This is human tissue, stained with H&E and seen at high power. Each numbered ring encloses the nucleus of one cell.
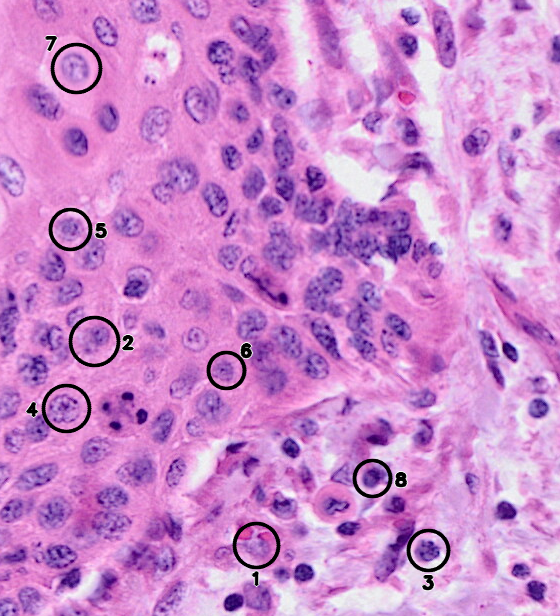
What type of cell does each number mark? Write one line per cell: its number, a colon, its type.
1: endothelial cell
2: squamous carcinoma cell
3: lymphocyte
4: squamous carcinoma cell
5: squamous carcinoma cell
6: squamous carcinoma cell
7: squamous carcinoma cell
8: lymphocyte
